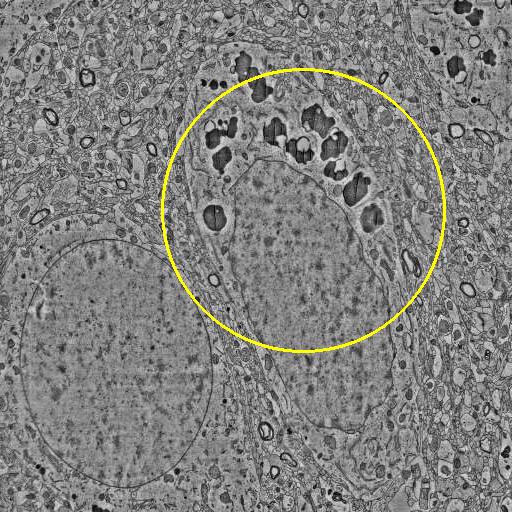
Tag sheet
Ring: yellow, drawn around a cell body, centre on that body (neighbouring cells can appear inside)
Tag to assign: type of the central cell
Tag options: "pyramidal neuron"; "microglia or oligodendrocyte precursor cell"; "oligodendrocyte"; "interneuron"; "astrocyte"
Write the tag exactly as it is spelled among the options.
interneuron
